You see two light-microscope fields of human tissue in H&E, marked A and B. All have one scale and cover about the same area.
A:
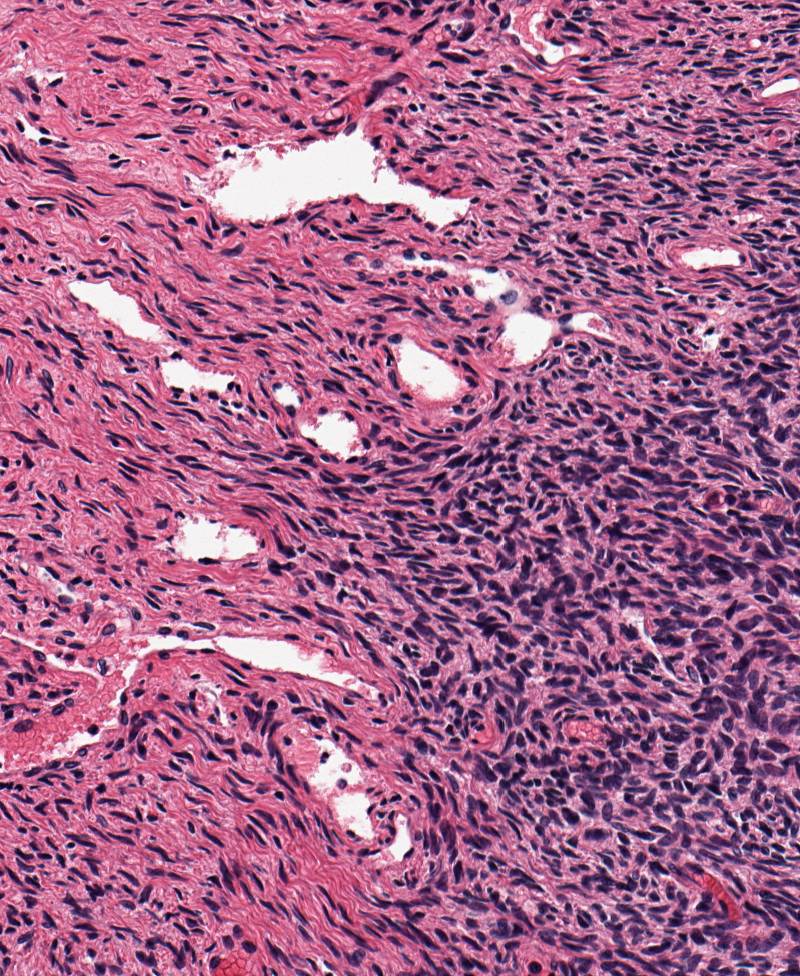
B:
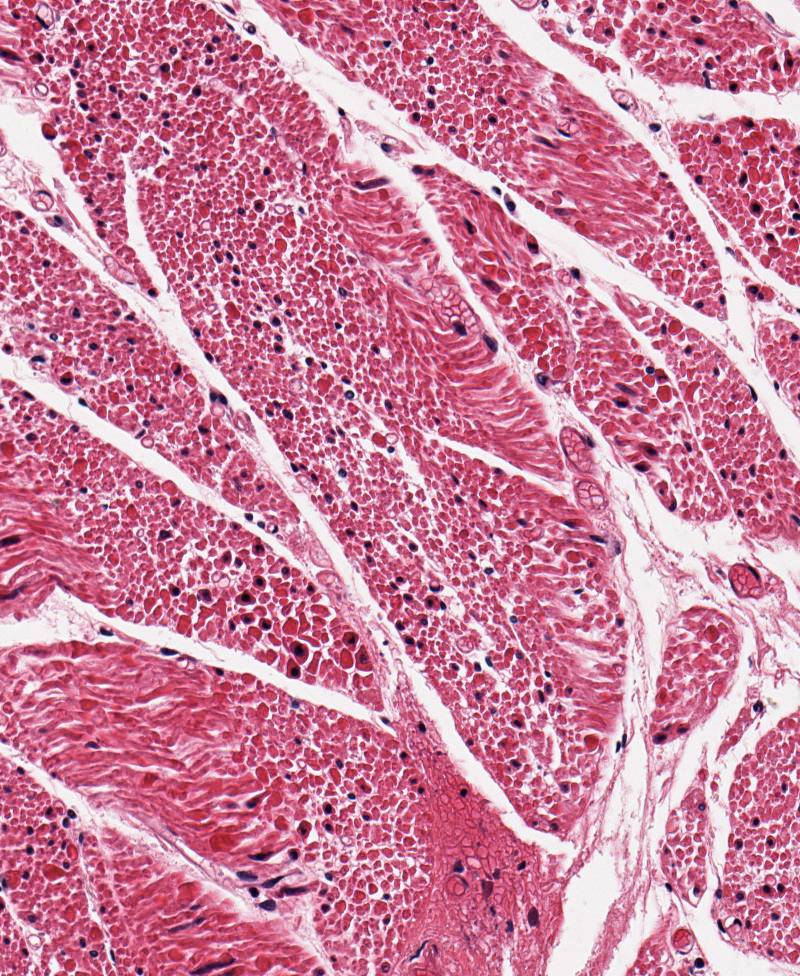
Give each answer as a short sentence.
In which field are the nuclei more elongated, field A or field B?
On the whole the nuclei of field A are more drawn out than those of field B.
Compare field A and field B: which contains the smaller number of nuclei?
Field B holds fewer nuclei than field A.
